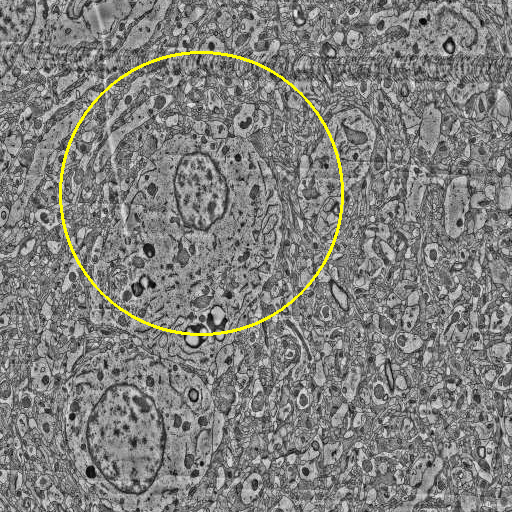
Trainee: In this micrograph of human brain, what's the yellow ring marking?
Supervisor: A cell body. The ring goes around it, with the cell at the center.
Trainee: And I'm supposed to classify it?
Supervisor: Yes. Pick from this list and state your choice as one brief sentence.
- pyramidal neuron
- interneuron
The cell at the ring's center is a pyramidal neuron.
